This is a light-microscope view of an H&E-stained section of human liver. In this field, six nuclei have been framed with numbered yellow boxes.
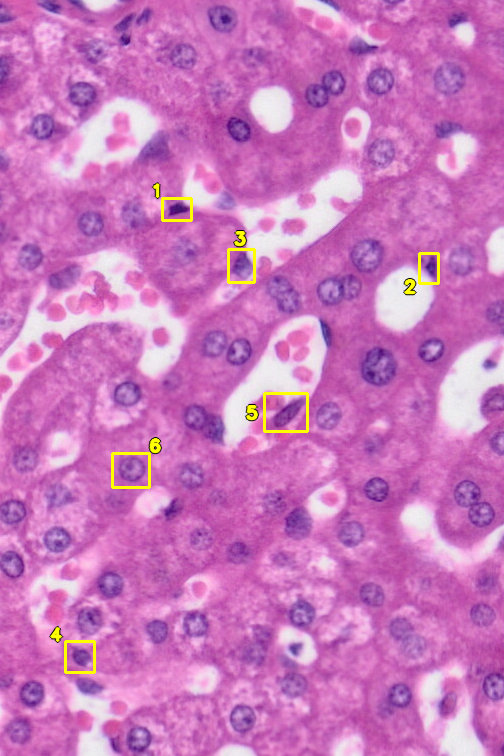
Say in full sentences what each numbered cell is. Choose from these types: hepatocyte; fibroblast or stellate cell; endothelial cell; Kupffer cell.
Cells 1, 2 and 4 are fibroblasts or stellate cells. Cell 3 is an endothelial cell. Cell 5 is a Kupffer cell. Cell 6 is a hepatocyte.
